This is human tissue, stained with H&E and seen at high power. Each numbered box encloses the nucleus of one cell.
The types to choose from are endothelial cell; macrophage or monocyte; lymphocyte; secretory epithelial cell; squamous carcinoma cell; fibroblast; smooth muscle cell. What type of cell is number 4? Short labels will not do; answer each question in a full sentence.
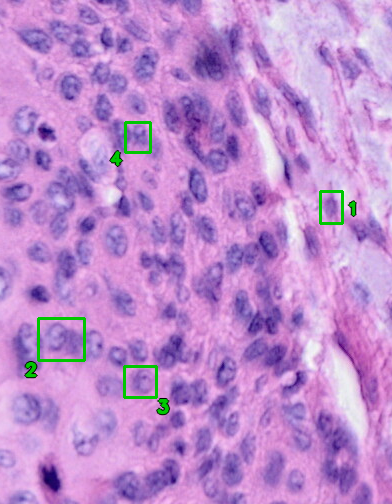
The cell marked with the number 4 is a squamous carcinoma cell.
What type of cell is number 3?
Numbered cell 3 is a squamous carcinoma cell in this tissue section.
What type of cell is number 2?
The cell bearing label 2 corresponds to a squamous carcinoma cell.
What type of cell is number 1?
The cell numbered 1 has been identified as a fibroblast.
